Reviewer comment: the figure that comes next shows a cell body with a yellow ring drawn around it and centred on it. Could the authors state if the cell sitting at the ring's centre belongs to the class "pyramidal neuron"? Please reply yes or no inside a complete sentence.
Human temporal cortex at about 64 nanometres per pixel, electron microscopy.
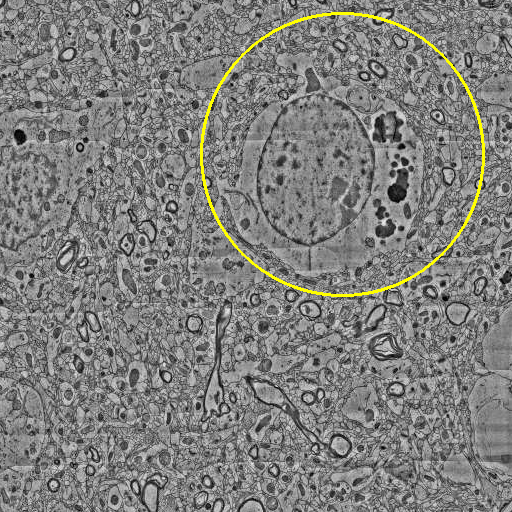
No, in the figure, the cell at the ring's centre belongs to a different class.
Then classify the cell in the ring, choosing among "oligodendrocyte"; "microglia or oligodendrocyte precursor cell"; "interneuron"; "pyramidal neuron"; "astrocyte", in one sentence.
The ring holds an astrocyte at its centre.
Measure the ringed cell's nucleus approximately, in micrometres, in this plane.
In this plane the nucleus is about 10 micrometres by 7.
